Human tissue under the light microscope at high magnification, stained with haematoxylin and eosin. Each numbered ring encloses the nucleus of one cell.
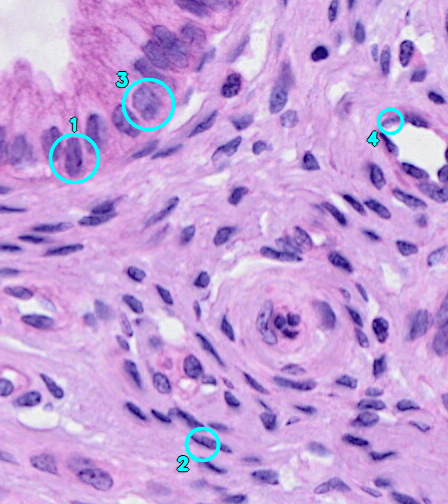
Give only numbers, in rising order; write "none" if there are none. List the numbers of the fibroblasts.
2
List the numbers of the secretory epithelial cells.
1, 3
